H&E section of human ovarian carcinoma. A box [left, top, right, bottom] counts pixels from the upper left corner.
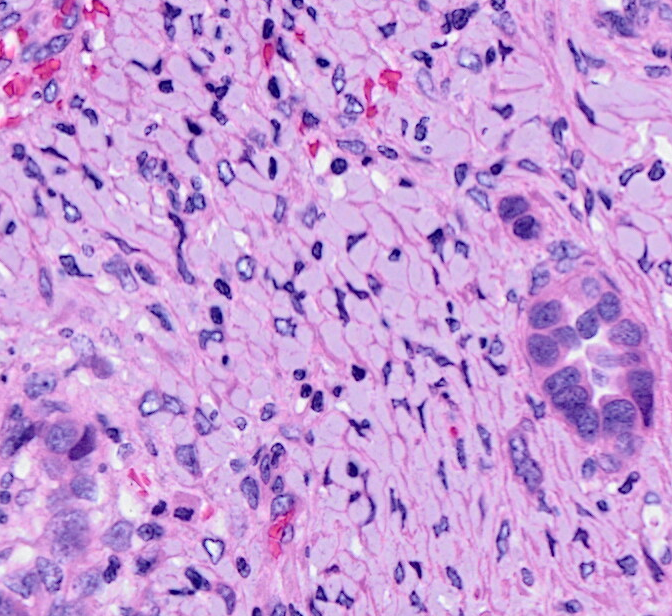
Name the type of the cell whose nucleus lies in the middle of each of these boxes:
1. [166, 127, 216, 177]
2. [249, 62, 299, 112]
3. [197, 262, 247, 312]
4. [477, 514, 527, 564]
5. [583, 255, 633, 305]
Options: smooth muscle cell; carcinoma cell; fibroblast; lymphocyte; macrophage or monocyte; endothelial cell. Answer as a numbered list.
1. fibroblast
2. lymphocyte
3. lymphocyte
4. fibroblast
5. fibroblast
